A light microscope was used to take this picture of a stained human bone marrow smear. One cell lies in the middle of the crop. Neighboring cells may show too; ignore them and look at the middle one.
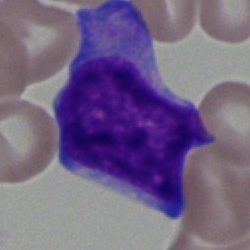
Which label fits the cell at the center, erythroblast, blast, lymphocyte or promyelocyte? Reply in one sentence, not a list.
The cell shown in the center of this light-microscope crop is a blast.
